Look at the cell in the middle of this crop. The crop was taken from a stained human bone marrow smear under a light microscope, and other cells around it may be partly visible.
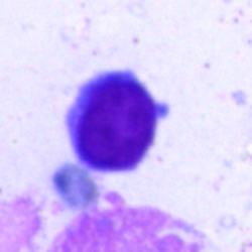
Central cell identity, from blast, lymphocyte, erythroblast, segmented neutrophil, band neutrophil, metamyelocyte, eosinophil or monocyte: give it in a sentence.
The middle position in this crop is taken by a lymphocyte.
